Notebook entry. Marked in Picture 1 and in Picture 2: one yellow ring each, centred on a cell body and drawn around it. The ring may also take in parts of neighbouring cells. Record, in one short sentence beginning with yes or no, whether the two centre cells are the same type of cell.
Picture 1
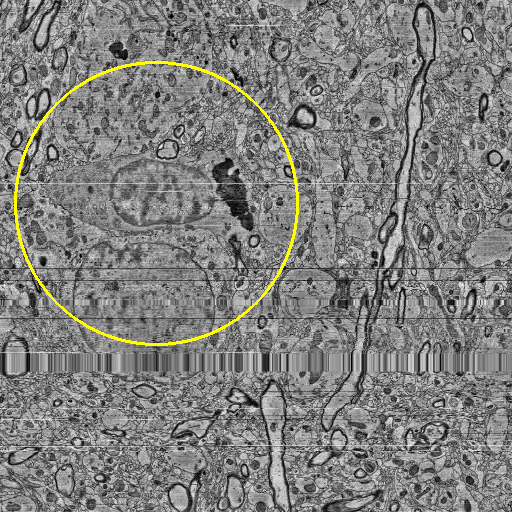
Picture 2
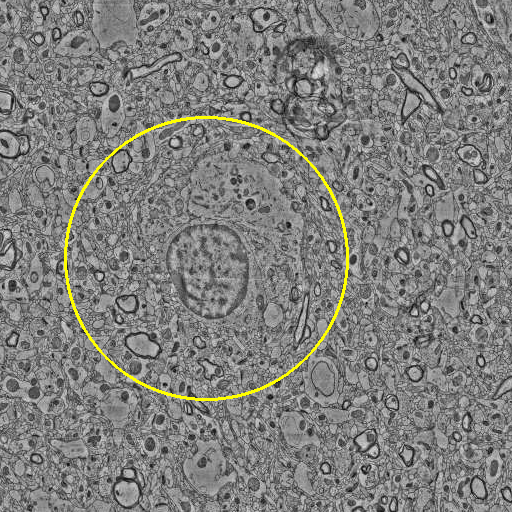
Yes, both are the same type of cell.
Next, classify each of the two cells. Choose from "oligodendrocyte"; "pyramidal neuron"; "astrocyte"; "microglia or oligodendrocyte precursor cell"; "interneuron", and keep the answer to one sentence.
Both the first and the second picture show an oligodendrocyte in the ring.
